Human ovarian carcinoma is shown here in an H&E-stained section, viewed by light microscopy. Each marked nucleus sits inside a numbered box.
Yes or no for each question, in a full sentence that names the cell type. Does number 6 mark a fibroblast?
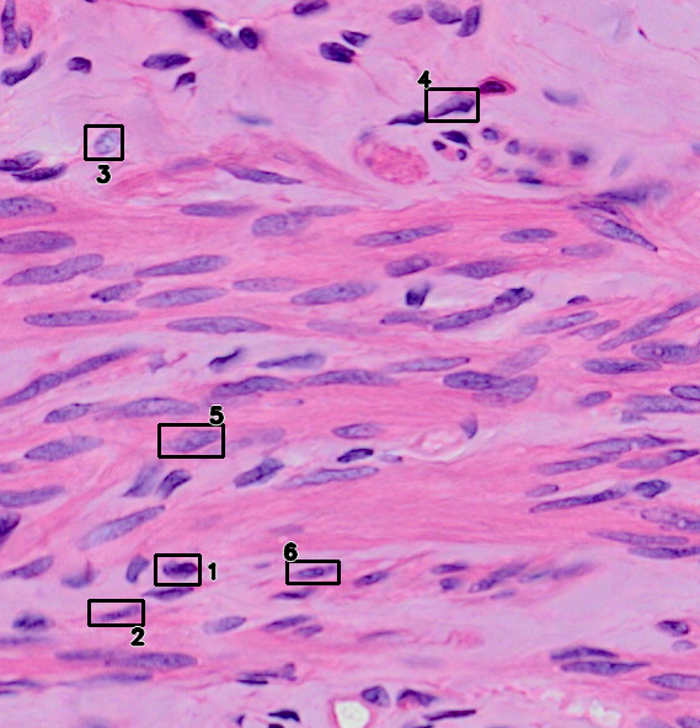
No, the cell at number 6 is a smooth muscle cell instead of a fibroblast.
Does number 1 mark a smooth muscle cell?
No, cell 1 does not represent a smooth muscle cell; it represents a fibroblast.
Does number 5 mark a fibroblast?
No, the cell with the number 5 is a smooth muscle cell, not a fibroblast.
